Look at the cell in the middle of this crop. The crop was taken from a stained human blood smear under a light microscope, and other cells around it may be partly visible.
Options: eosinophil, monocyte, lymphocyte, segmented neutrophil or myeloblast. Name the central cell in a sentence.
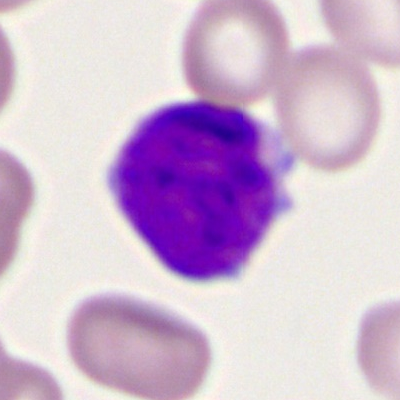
The centrally placed cell is classified as a myeloblast.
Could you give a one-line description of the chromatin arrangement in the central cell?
Answer: the chromatin in this nucleus is coarsely clumped.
